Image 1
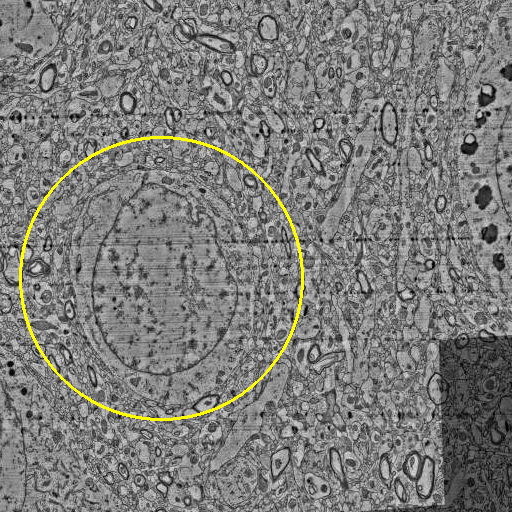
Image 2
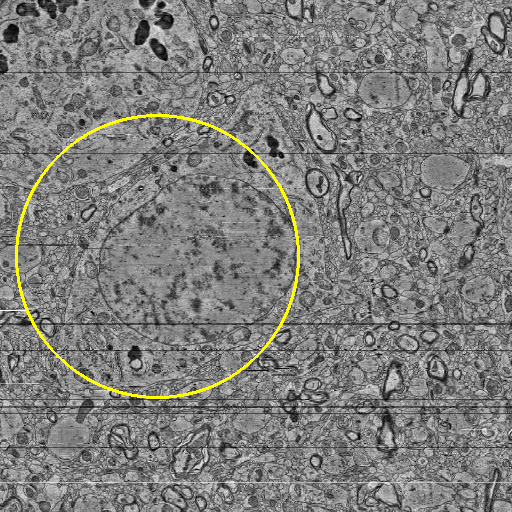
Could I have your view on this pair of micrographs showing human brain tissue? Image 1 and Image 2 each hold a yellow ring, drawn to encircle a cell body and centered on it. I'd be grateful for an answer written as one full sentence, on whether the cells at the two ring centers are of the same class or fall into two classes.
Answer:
The cells at the centers of the two rings are of the same class.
